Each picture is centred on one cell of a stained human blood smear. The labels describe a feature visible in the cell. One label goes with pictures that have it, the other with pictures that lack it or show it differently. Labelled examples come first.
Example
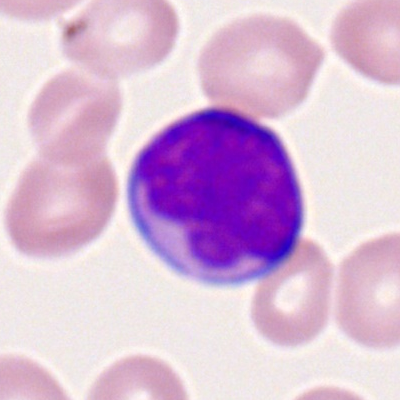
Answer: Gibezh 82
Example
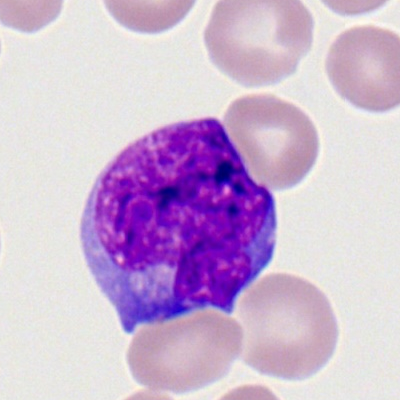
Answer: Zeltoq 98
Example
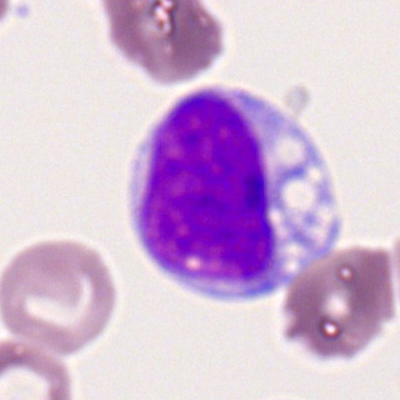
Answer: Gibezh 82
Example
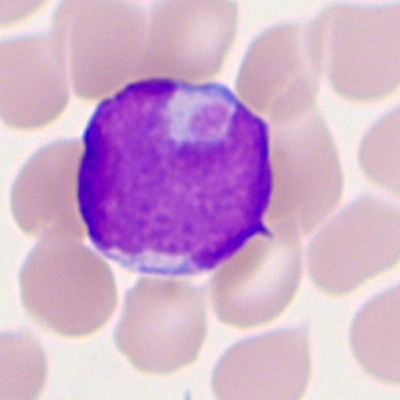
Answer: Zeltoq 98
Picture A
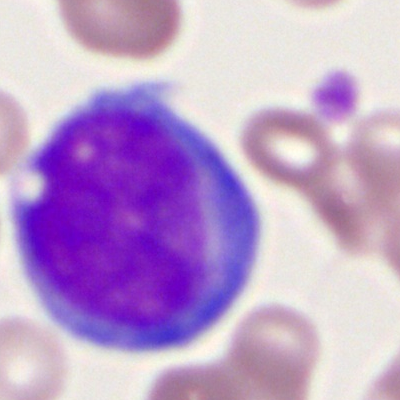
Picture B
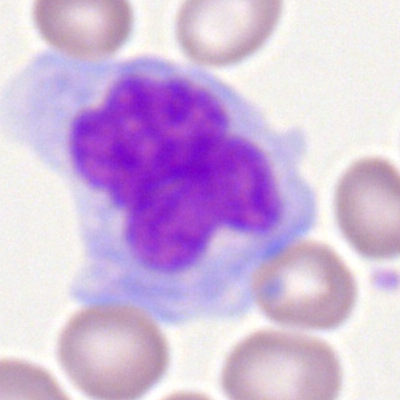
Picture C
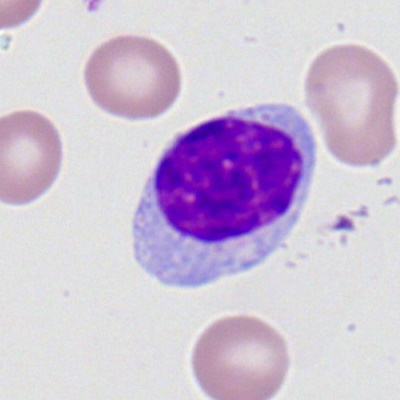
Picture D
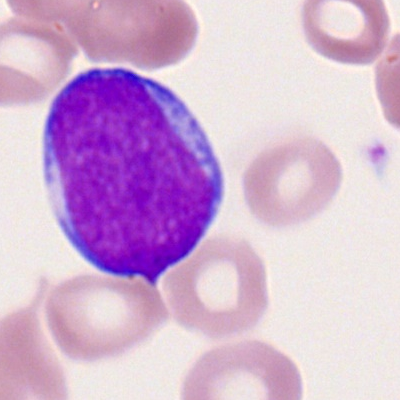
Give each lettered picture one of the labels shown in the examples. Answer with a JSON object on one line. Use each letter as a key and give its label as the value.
{"A": "Zeltoq 98", "B": "Zeltoq 98", "C": "Gibezh 82", "D": "Zeltoq 98"}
